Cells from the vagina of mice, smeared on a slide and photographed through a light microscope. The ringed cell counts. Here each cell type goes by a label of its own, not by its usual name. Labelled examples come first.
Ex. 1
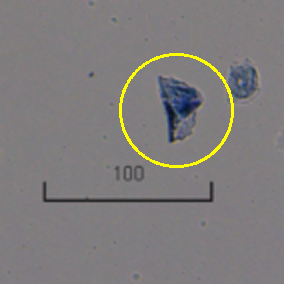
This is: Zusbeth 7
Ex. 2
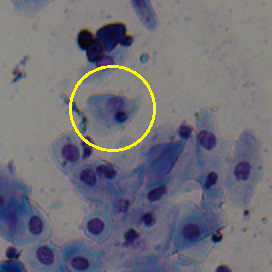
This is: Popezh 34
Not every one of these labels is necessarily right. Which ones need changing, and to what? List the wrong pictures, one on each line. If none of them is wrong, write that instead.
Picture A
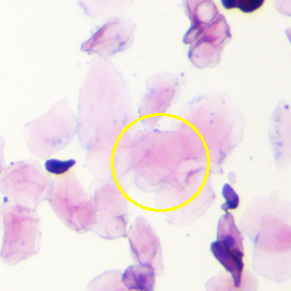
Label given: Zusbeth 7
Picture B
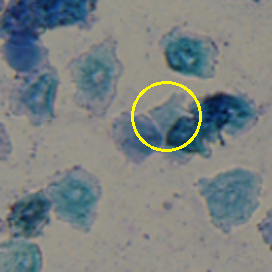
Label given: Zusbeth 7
Nothing to fix; every label fits.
